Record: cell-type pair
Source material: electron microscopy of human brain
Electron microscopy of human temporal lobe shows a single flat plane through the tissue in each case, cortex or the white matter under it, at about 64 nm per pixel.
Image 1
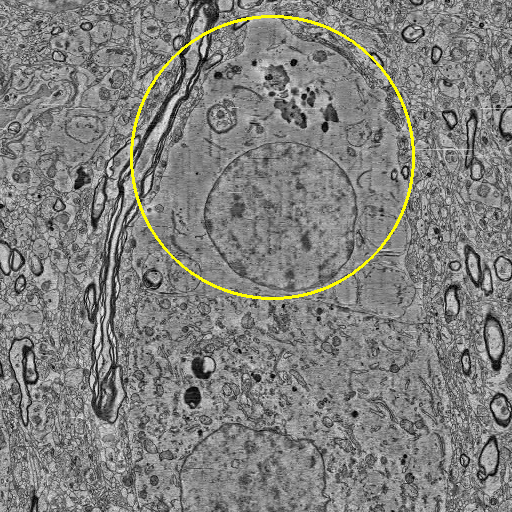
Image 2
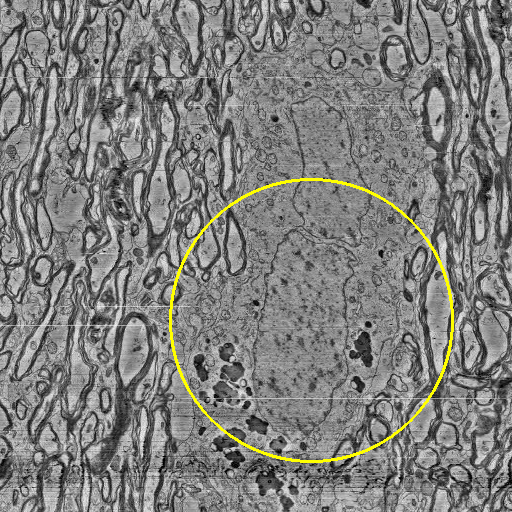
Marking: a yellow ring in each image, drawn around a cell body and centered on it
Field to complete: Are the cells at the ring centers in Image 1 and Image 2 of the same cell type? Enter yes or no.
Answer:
no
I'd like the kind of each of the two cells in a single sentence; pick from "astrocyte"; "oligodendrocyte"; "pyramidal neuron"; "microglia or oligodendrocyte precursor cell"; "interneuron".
The first ring marks an astrocyte, and the second ring marks a pyramidal neuron.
